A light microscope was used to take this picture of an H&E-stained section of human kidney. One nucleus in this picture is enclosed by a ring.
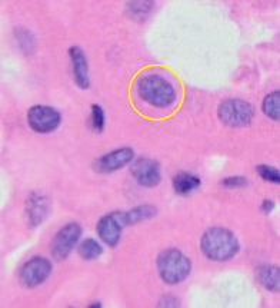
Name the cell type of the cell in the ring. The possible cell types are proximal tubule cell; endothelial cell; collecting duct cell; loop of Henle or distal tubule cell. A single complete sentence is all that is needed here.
It is a loop of Henle or distal tubule cell that the cell in the ring represents.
